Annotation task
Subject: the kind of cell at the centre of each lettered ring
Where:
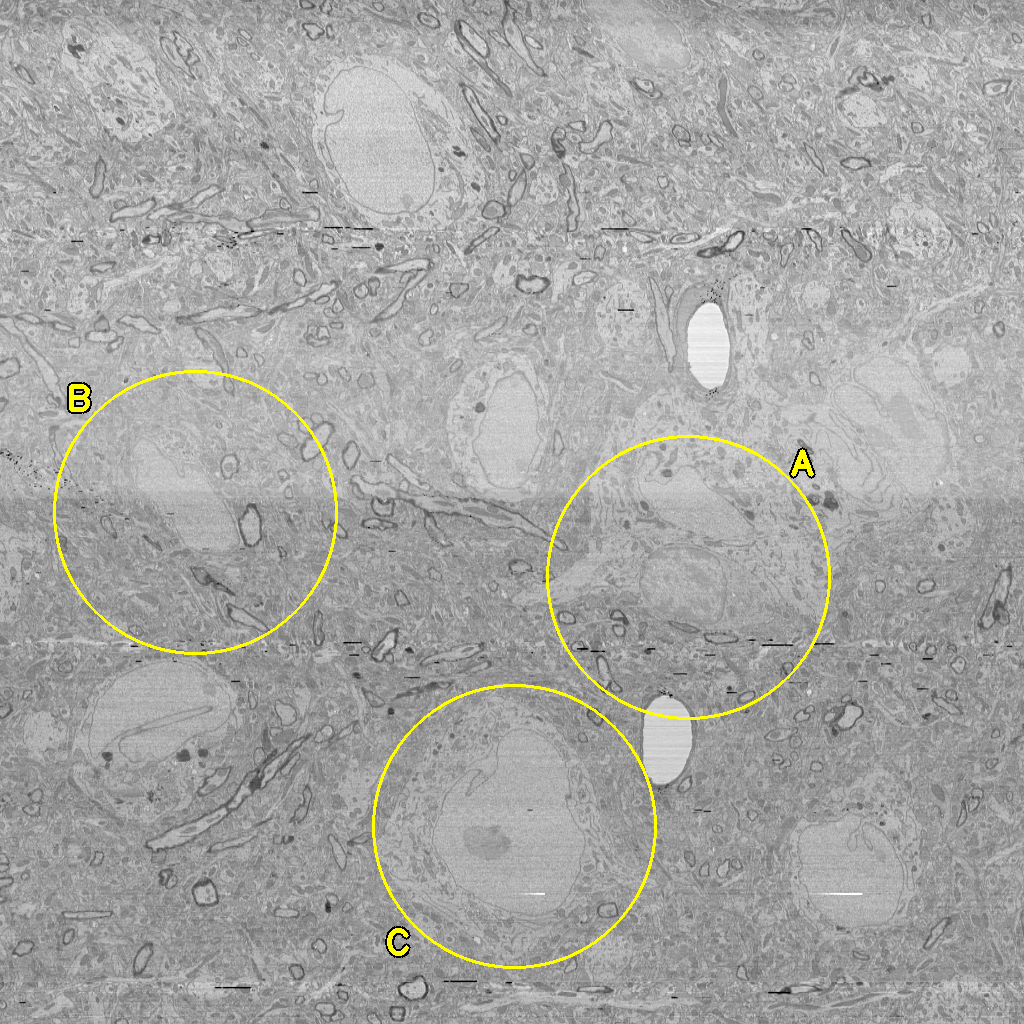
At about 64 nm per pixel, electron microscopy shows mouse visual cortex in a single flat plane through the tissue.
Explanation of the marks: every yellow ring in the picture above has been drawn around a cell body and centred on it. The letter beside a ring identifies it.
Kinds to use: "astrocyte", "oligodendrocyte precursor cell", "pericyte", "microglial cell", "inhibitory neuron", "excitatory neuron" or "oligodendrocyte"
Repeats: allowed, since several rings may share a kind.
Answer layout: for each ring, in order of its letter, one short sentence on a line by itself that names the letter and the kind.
The ring lettered A is drawn around an oligodendrocyte.
The ring lettered B is drawn around an oligodendrocyte precursor cell.
The ring lettered C is drawn around an excitatory neuron.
